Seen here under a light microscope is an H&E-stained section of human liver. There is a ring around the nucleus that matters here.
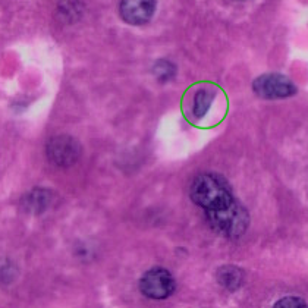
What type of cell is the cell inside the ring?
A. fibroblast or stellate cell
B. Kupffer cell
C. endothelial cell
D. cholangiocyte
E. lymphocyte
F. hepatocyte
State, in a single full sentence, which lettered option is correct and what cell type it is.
As the cell inside the ring is a Kupffer cell, the correct choice is option B.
